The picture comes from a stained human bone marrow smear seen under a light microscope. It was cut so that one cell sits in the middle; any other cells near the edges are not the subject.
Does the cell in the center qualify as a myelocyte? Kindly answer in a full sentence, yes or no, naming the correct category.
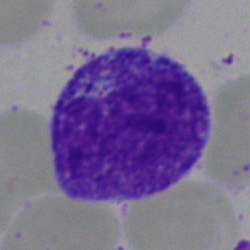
Yes, the middle of the crop is occupied by a myelocyte.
